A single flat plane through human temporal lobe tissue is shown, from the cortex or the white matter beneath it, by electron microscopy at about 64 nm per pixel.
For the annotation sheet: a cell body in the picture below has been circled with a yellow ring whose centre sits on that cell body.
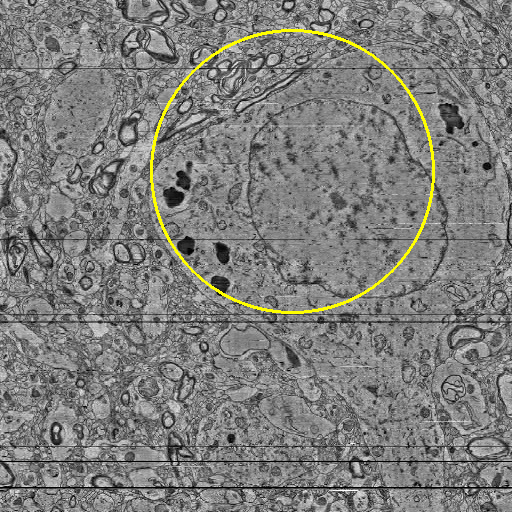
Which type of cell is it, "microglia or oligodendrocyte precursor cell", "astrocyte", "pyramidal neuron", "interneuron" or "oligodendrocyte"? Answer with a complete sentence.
The circled cell is a pyramidal neuron.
